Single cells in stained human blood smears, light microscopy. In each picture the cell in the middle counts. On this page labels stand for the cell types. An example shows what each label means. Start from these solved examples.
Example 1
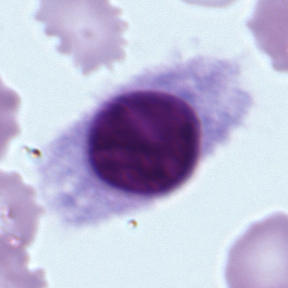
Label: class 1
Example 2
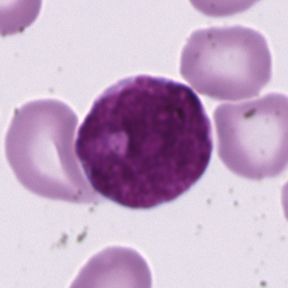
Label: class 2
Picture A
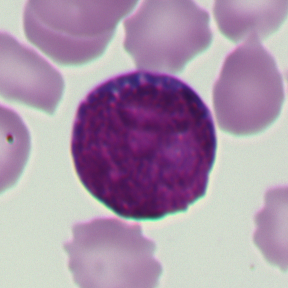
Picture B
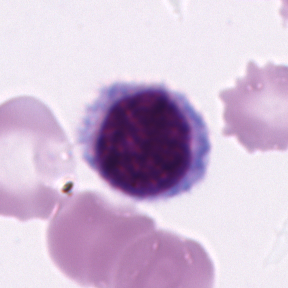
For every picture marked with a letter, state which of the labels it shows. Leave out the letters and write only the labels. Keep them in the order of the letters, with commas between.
class 2, class 1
